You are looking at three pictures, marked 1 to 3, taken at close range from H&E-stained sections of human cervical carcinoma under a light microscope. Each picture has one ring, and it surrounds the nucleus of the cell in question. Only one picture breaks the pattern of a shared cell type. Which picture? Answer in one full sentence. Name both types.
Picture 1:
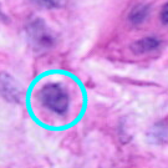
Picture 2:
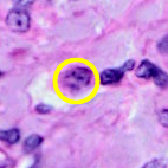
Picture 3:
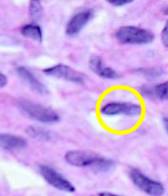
Picture 3 is the odd one out: it shows a fibroblast, while the others show “macrophages or monocytes”.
